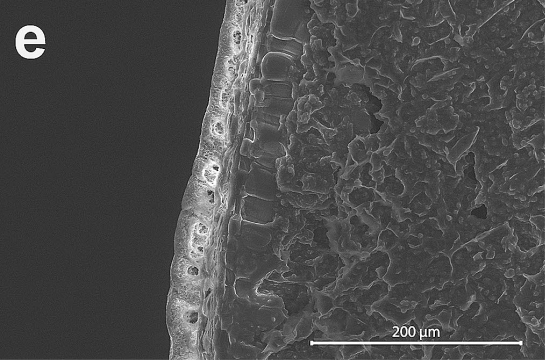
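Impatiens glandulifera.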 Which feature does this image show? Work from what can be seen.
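A cut edge runs along the left side with empty background beyond it. A thin layered band of cells lies along that edge. A row of rectangular cells lies just inside the outer band. Irregular dense tissue fills the rest of the panel to the right. That points to this answer: seed coat cross-sections.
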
